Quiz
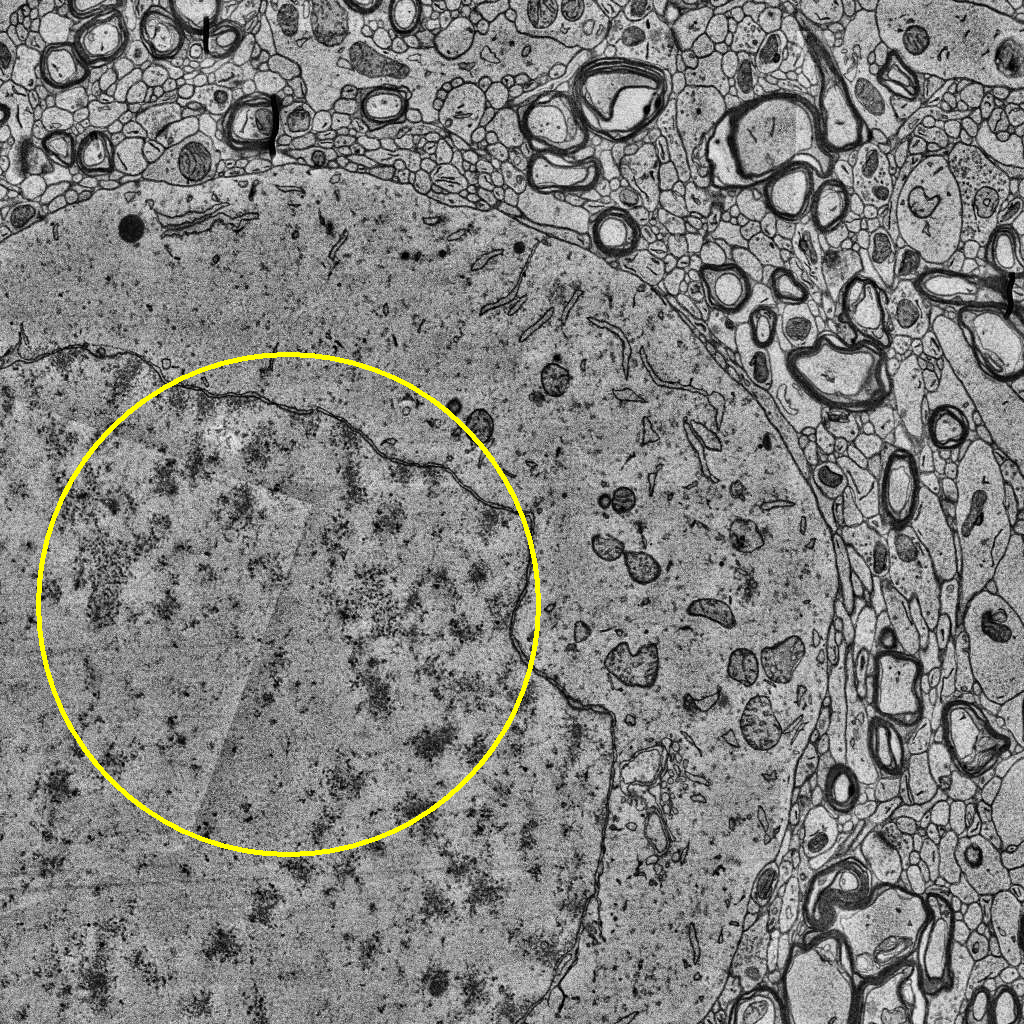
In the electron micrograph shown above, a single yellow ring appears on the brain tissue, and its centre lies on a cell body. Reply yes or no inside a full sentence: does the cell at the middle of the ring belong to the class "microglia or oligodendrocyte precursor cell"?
No, the cell lying at the ring's centre in the picture belongs to a different class.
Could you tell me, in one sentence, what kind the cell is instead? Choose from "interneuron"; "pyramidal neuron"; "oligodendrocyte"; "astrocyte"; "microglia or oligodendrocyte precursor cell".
Instead, the ring surrounds a pyramidal neuron in this picture.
